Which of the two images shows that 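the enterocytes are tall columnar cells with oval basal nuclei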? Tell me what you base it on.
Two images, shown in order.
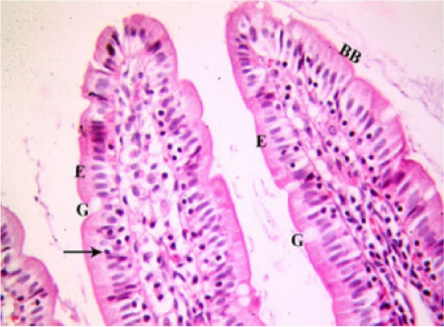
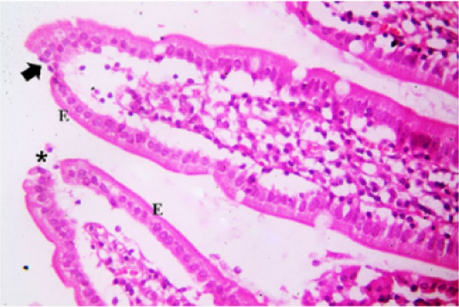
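The first image. Second image: the covering epithelial cells are short and cube-like with rounded nuclei. First image: the covering epithelial cells are tall and columnar with elongated nuclei near their bases.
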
